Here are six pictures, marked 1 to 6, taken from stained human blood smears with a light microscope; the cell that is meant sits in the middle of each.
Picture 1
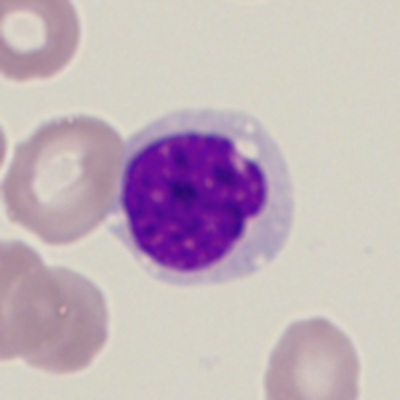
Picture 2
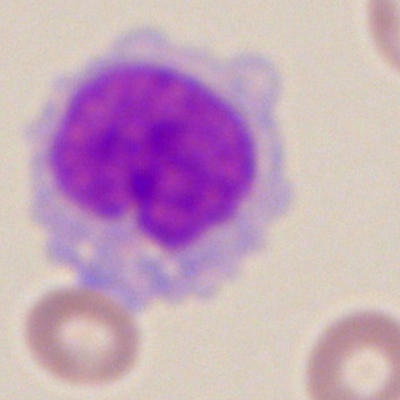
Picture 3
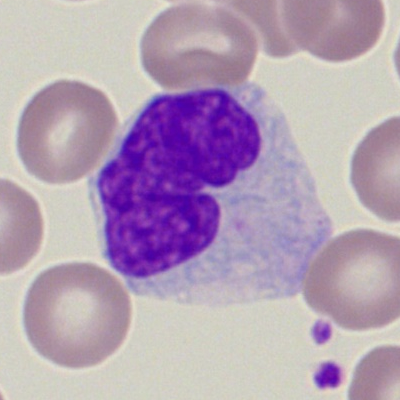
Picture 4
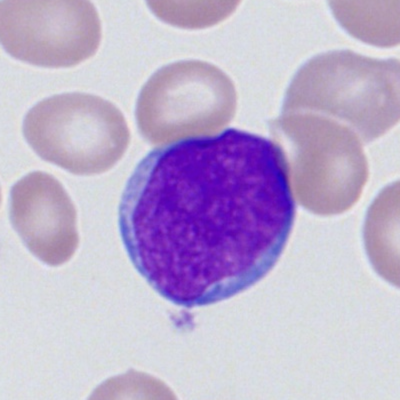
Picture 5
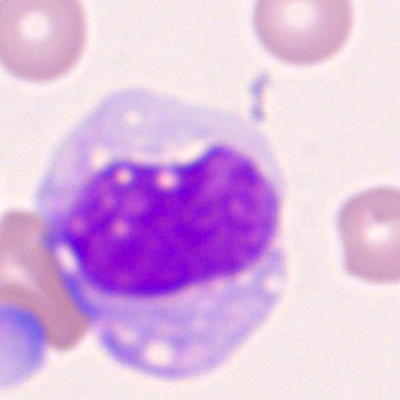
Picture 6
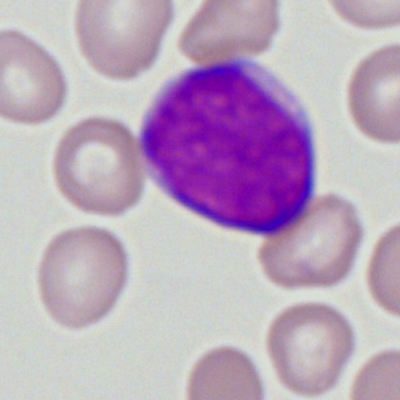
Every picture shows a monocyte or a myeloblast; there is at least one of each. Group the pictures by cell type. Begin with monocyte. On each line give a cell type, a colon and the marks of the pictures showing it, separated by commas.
monocyte: 1, 2, 3, 5
myeloblast: 4, 6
